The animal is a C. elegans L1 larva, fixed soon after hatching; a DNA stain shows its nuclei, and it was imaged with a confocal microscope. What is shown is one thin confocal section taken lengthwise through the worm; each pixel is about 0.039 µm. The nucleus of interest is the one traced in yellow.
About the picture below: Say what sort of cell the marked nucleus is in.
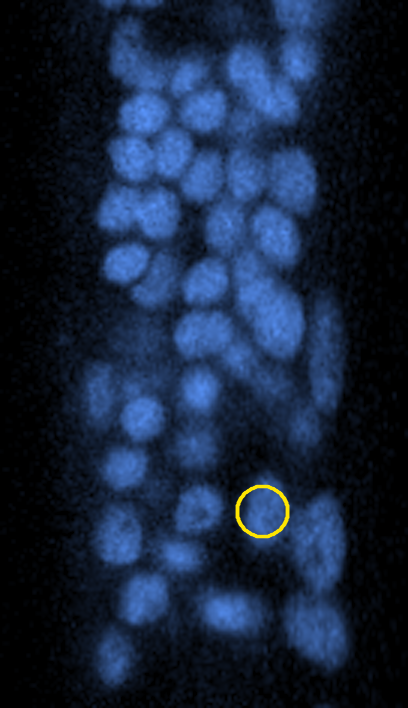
pharyngeal marginal cell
